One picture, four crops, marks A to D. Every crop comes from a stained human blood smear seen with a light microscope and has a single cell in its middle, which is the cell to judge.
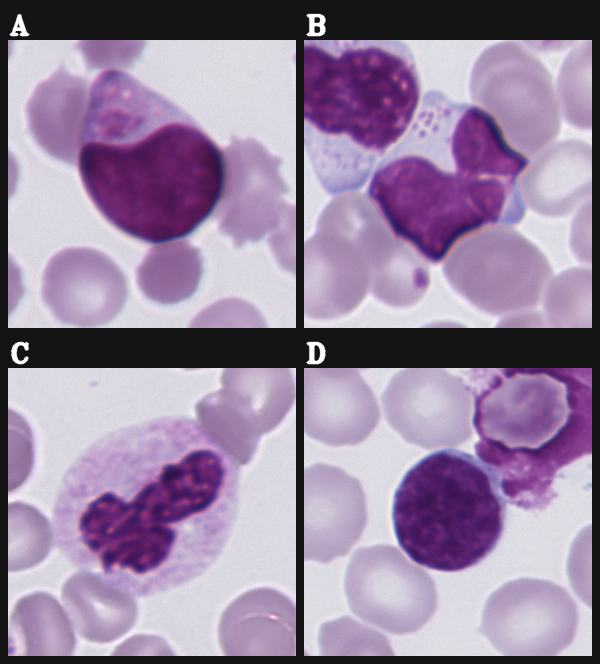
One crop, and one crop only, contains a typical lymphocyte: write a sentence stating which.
Crop D is the crop that shows a typical lymphocyte in its middle.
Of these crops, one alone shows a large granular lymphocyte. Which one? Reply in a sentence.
The one that shows a large granular lymphocyte is crop B.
